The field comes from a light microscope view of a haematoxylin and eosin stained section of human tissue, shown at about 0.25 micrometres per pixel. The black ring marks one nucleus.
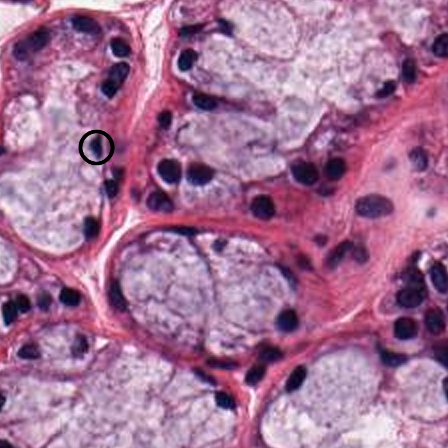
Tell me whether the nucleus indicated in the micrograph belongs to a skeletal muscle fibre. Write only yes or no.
no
